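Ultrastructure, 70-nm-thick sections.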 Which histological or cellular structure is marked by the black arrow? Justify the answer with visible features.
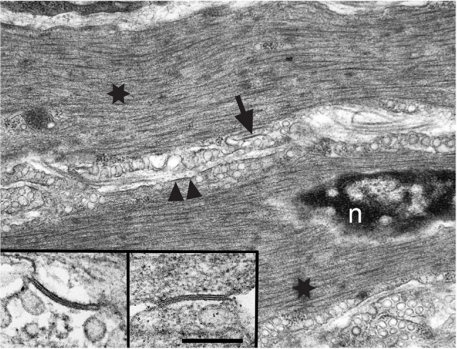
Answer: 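The arrow points to a spot where the membranes of two neighbouring cells come very close together.
Gap junction.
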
